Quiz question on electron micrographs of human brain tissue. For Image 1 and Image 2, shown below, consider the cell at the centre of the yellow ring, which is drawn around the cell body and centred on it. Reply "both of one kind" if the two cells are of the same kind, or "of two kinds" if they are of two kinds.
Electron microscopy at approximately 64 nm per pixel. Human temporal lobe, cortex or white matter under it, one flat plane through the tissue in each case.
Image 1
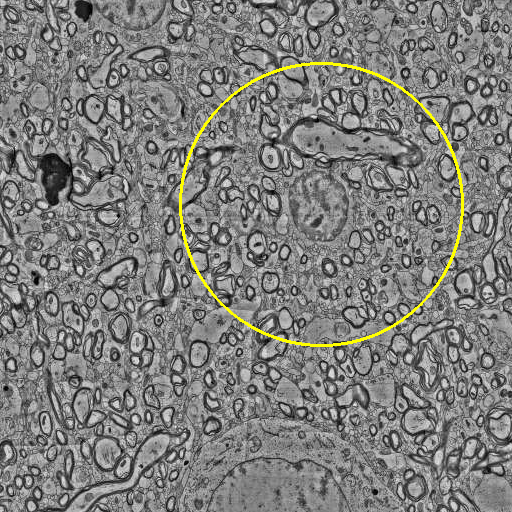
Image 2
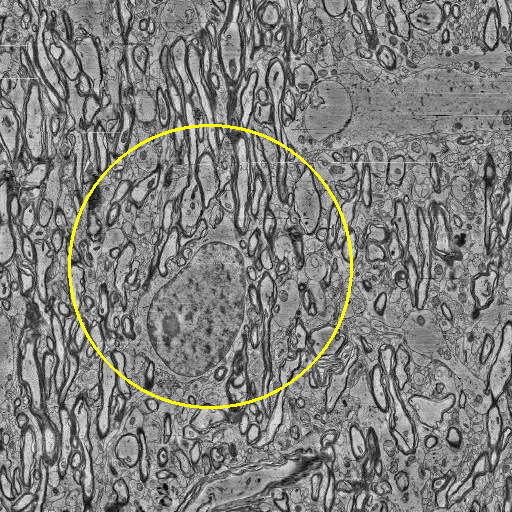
of two kinds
